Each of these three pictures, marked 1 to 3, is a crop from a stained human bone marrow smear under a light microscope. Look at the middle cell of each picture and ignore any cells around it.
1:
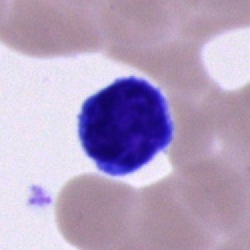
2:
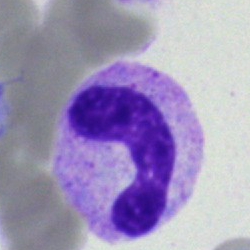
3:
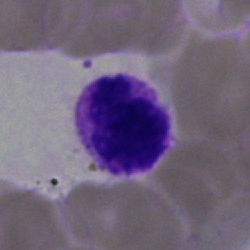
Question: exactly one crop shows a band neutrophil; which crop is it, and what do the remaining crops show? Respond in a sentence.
Crop by crop: crop 2 is a band neutrophil, while crop 1 is a lymphocyte and crop 3 is a basophil.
